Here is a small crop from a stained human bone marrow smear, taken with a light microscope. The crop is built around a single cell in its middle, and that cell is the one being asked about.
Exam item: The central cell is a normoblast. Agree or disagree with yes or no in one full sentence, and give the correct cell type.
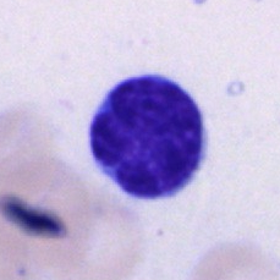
No, what the centre of the crop shows is a lymphocyte, not a normoblast.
